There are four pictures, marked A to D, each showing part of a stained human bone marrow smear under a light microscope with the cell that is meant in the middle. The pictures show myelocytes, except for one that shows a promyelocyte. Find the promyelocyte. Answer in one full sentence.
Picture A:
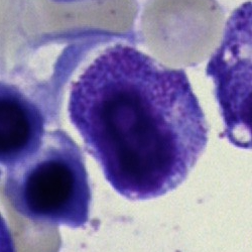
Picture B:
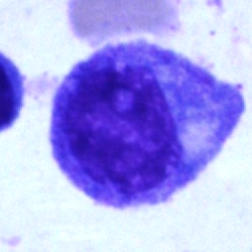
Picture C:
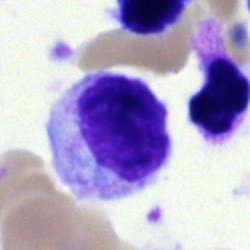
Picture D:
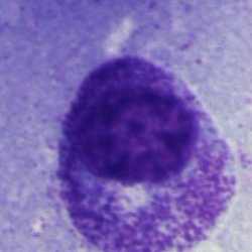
Picture B is the one that shows the promyelocyte.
